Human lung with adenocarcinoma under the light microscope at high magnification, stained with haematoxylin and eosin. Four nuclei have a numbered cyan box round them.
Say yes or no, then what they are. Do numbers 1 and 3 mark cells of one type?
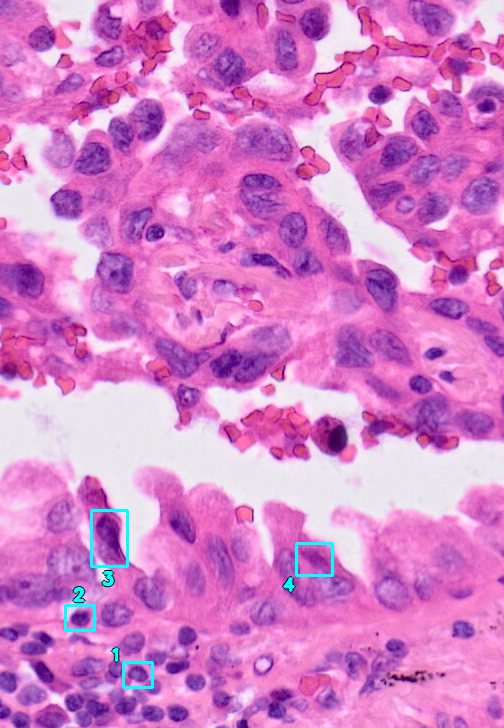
No, cell 1 is a lymphocyte and cell 3 is a carcinoma cell.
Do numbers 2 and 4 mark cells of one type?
No, cell 2 is a lymphocyte and cell 4 is a carcinoma cell.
